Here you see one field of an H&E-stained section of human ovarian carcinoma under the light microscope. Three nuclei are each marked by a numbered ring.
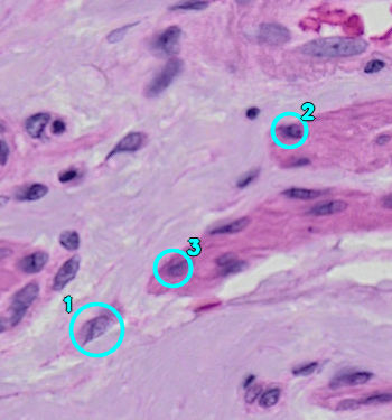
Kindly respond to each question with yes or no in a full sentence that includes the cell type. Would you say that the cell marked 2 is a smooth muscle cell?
Yes, the number 2 belongs to a smooth muscle cell.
